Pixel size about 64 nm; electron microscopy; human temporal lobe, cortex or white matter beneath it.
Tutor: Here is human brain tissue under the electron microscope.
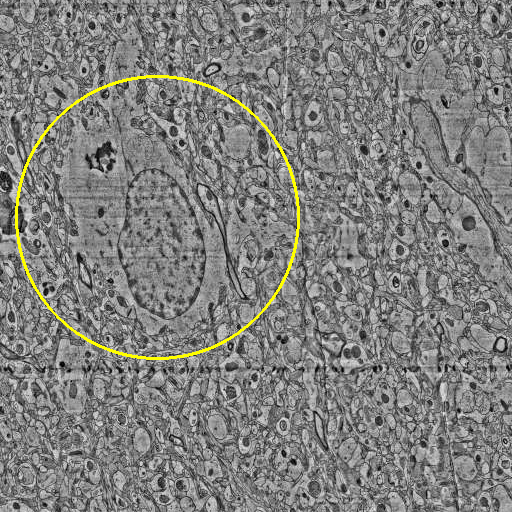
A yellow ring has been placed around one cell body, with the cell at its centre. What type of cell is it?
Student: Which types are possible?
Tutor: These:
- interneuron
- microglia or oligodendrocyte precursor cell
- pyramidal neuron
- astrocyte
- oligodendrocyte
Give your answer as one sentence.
What the ring picks out here is an astrocyte.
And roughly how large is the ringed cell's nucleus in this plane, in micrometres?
The nucleus is approximately 10 micrometres long but only about 6 wide, clearly longer than it is wide in this plane.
